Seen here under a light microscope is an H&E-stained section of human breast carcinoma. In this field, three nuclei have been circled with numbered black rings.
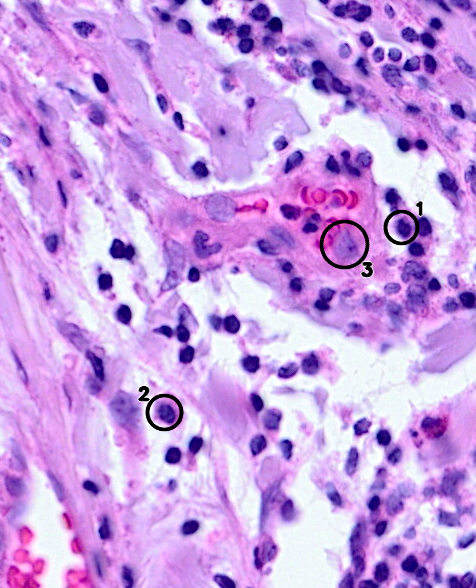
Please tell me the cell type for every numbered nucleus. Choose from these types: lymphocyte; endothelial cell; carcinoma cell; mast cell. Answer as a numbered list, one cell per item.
1. lymphocyte
2. mast cell
3. endothelial cell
